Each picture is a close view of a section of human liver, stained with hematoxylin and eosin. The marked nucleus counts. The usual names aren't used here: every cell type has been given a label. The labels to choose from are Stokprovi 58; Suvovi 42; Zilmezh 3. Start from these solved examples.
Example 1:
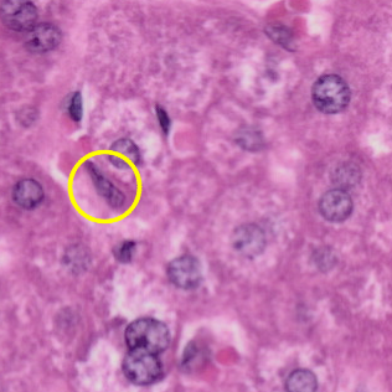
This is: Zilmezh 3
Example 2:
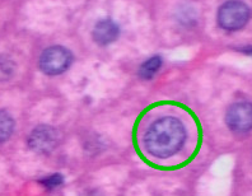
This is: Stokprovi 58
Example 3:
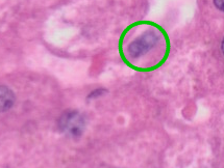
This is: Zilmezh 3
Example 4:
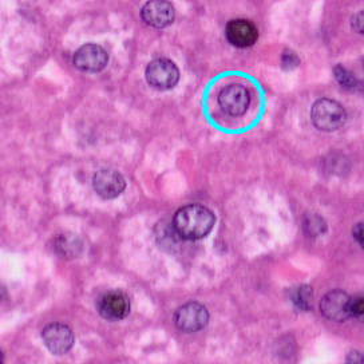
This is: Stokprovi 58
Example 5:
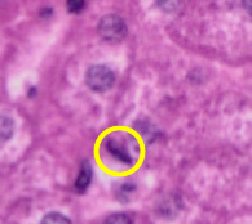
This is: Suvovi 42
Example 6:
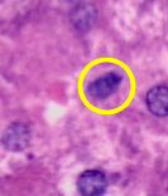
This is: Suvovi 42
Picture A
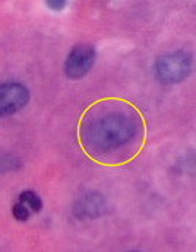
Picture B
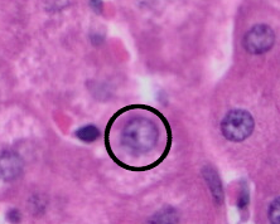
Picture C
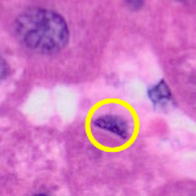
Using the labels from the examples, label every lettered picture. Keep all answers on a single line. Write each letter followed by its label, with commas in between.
A Stokprovi 58, B Stokprovi 58, C Suvovi 42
